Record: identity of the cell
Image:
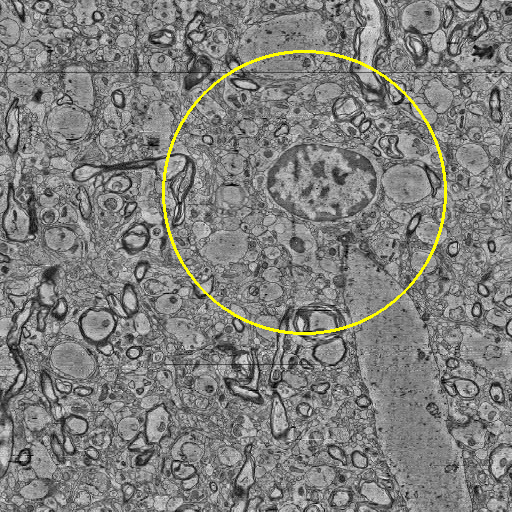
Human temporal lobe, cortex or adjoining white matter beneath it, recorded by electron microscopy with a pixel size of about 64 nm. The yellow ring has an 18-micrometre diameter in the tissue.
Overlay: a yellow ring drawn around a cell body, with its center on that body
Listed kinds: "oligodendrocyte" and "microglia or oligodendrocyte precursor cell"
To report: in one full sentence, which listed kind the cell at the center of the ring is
In the image, the cell body at the ring's center belongs to a microglial cell or oligodendrocyte precursor cell.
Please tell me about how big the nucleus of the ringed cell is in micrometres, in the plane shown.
The nucleus has a long axis of about 7 micrometres and a short axis of about 5 micrometres in this plane.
